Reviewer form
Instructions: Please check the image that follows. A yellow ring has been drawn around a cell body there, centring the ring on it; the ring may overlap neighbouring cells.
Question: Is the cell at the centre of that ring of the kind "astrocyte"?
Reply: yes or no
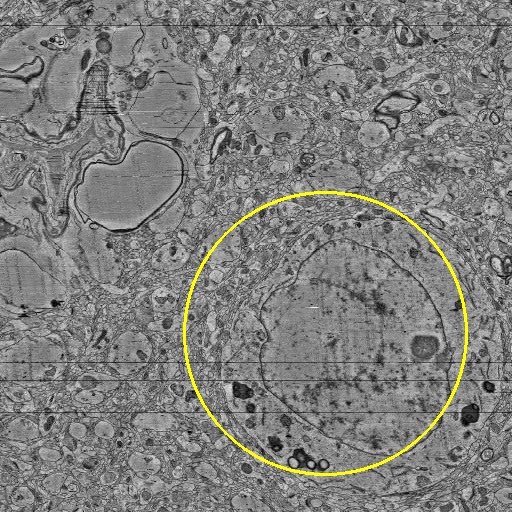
no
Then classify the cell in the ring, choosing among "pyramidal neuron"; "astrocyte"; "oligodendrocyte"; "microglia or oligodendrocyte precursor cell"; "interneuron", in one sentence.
The correct answer is that the cell is a pyramidal neuron.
